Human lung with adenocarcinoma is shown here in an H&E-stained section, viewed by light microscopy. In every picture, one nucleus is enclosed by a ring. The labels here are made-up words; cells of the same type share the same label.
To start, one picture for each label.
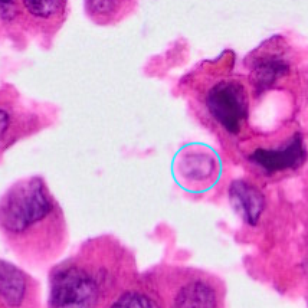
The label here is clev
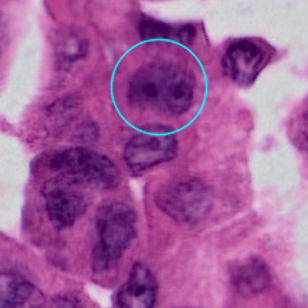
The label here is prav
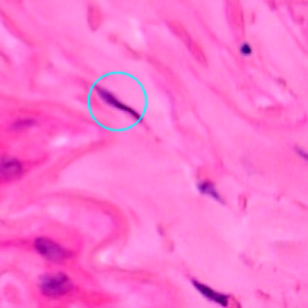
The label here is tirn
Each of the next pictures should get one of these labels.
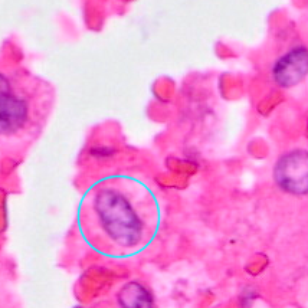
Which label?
clev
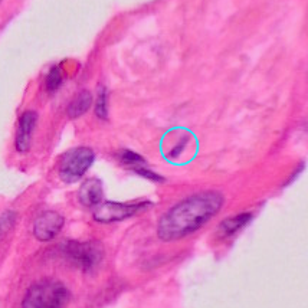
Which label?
tirn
